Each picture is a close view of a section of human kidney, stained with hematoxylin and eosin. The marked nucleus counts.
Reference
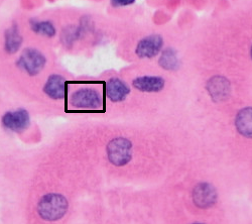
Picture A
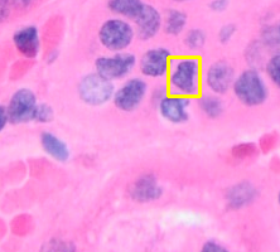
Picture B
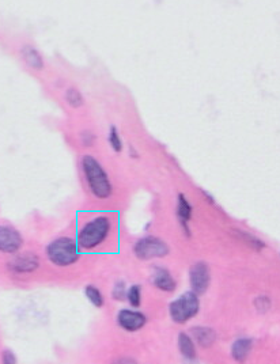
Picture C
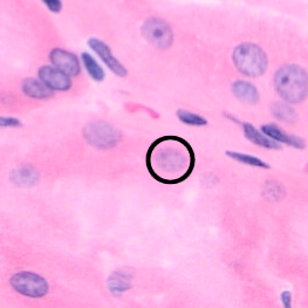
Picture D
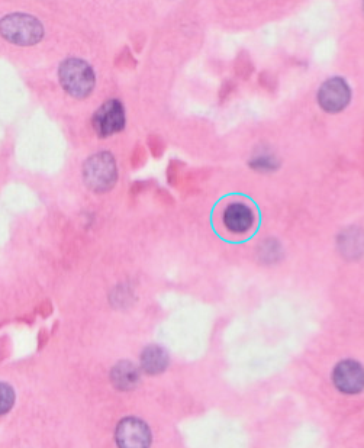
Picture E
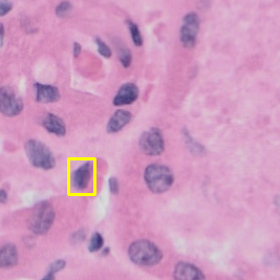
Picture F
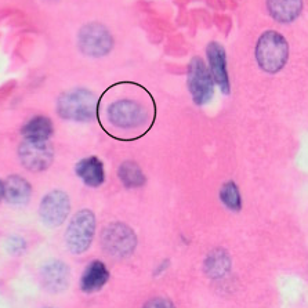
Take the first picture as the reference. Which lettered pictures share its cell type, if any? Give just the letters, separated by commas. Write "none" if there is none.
A, B, F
